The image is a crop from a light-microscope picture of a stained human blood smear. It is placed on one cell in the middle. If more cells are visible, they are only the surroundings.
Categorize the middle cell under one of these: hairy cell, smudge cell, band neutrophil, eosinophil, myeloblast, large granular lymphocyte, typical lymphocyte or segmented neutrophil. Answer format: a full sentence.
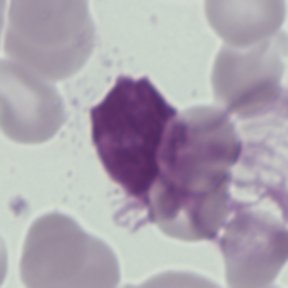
Here the centrally located cell is a smudge cell.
